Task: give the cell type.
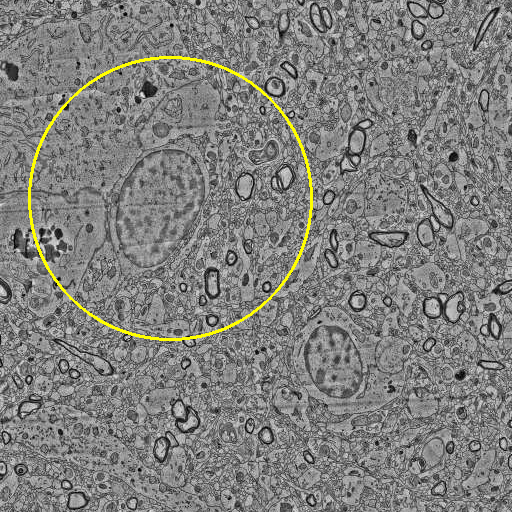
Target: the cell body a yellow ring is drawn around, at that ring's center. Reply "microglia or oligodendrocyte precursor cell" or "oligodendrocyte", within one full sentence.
In this picture, the cell whose body lies at the ring's center is an oligodendrocyte.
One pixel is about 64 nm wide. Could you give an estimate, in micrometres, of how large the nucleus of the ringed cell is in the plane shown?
Approximately 8 micrometres long and 5 micrometres wide, in this plane.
